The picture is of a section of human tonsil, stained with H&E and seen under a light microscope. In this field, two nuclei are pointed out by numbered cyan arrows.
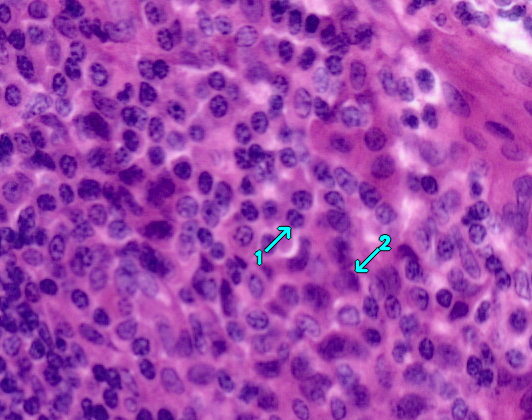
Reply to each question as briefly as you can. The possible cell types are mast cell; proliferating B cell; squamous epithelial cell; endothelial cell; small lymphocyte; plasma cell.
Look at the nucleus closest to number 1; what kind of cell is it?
plasma cell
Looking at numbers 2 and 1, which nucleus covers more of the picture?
2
